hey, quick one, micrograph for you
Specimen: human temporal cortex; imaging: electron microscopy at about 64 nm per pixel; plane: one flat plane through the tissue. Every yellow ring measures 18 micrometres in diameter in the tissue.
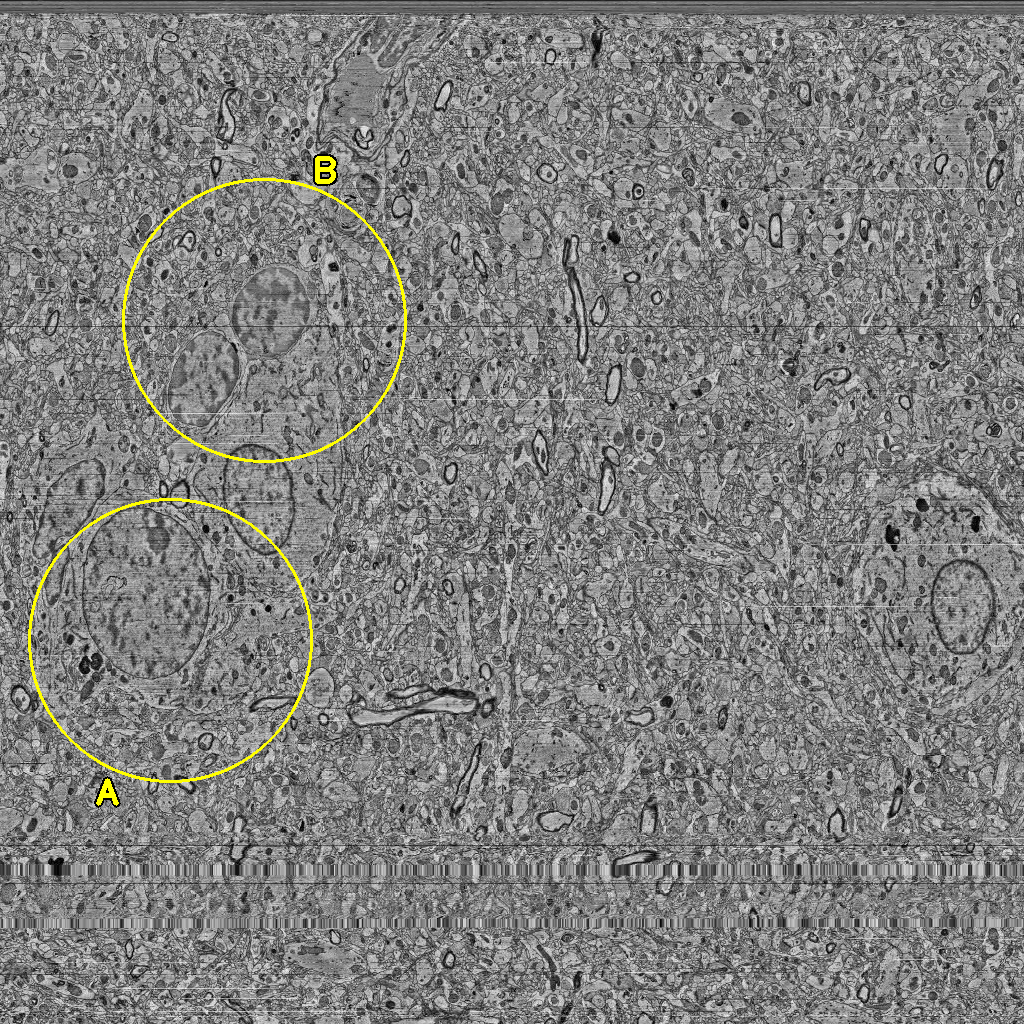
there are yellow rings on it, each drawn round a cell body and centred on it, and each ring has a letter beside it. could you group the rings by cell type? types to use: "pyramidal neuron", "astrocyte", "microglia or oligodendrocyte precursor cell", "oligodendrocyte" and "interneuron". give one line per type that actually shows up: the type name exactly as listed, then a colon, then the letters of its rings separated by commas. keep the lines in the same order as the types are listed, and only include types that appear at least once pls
pyramidal neuron: A
oligodendrocyte: B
